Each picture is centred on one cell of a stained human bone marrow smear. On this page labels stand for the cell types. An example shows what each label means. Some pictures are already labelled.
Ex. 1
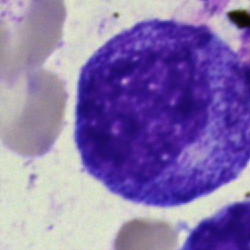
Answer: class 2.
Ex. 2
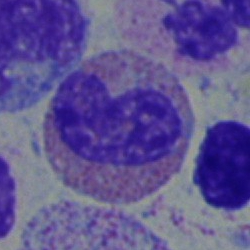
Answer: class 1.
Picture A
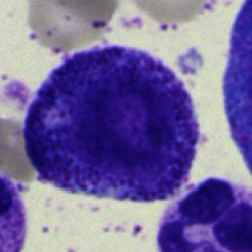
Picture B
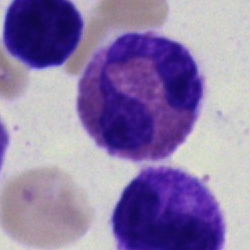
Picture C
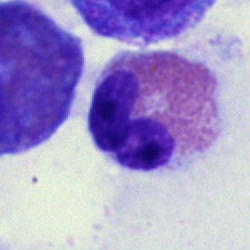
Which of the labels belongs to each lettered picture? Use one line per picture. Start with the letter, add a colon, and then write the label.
A: class 2.
B: class 1.
C: class 1.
